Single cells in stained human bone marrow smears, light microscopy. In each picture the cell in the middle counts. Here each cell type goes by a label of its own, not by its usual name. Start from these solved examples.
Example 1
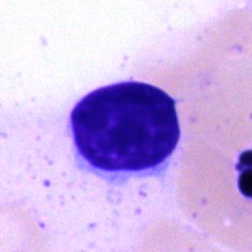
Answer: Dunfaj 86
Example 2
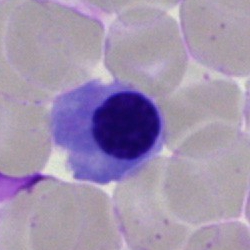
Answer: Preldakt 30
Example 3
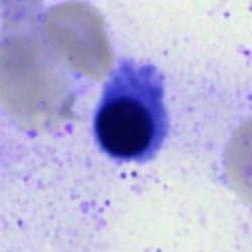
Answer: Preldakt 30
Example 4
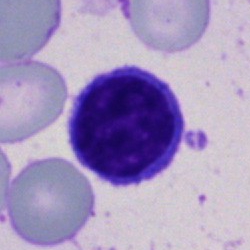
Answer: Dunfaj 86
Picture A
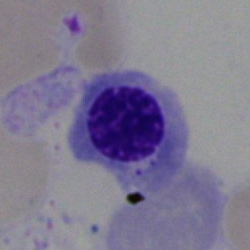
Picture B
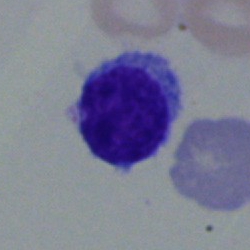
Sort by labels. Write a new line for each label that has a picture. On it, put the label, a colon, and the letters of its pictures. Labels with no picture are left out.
Dunfaj 86: B
Preldakt 30: A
